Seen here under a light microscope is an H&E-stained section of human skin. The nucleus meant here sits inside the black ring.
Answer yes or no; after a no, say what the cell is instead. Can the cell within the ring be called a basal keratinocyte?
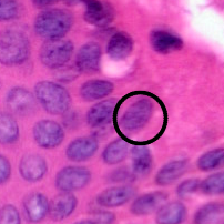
Yes.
